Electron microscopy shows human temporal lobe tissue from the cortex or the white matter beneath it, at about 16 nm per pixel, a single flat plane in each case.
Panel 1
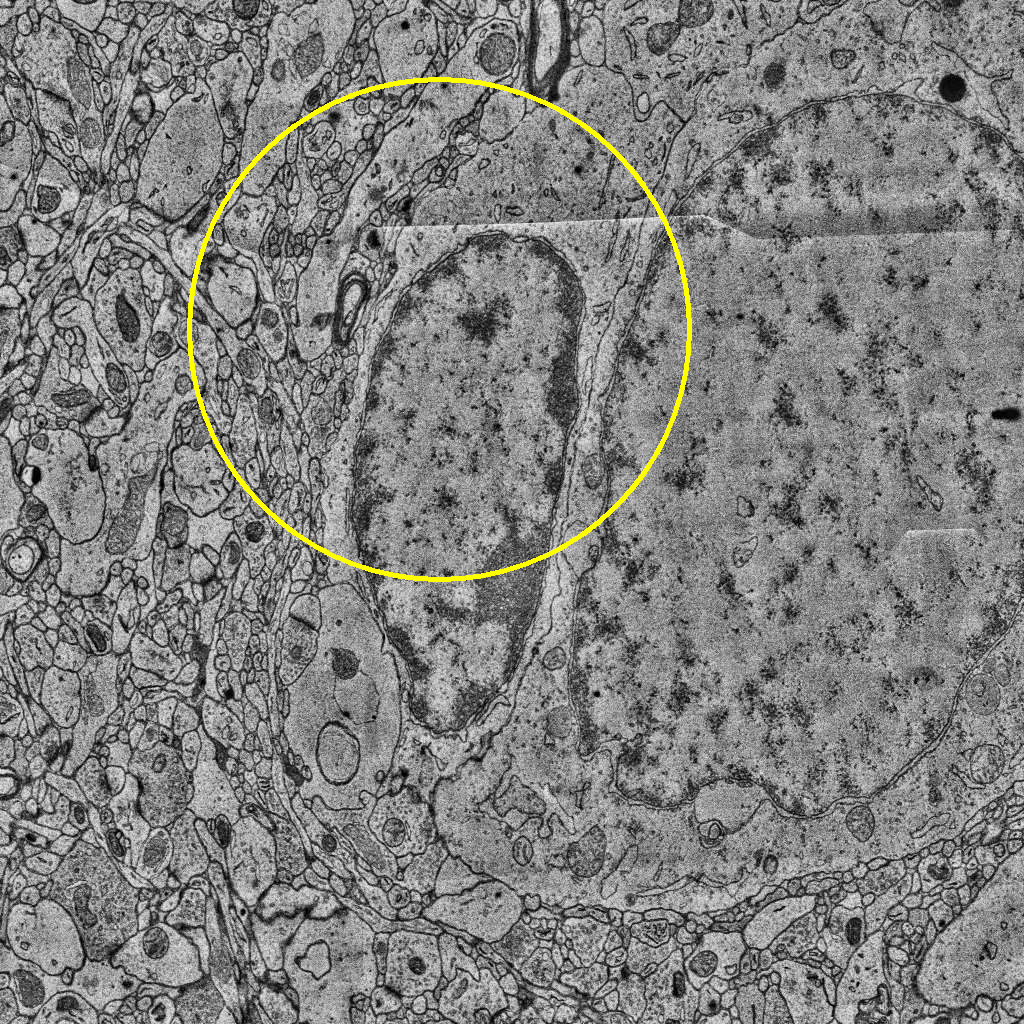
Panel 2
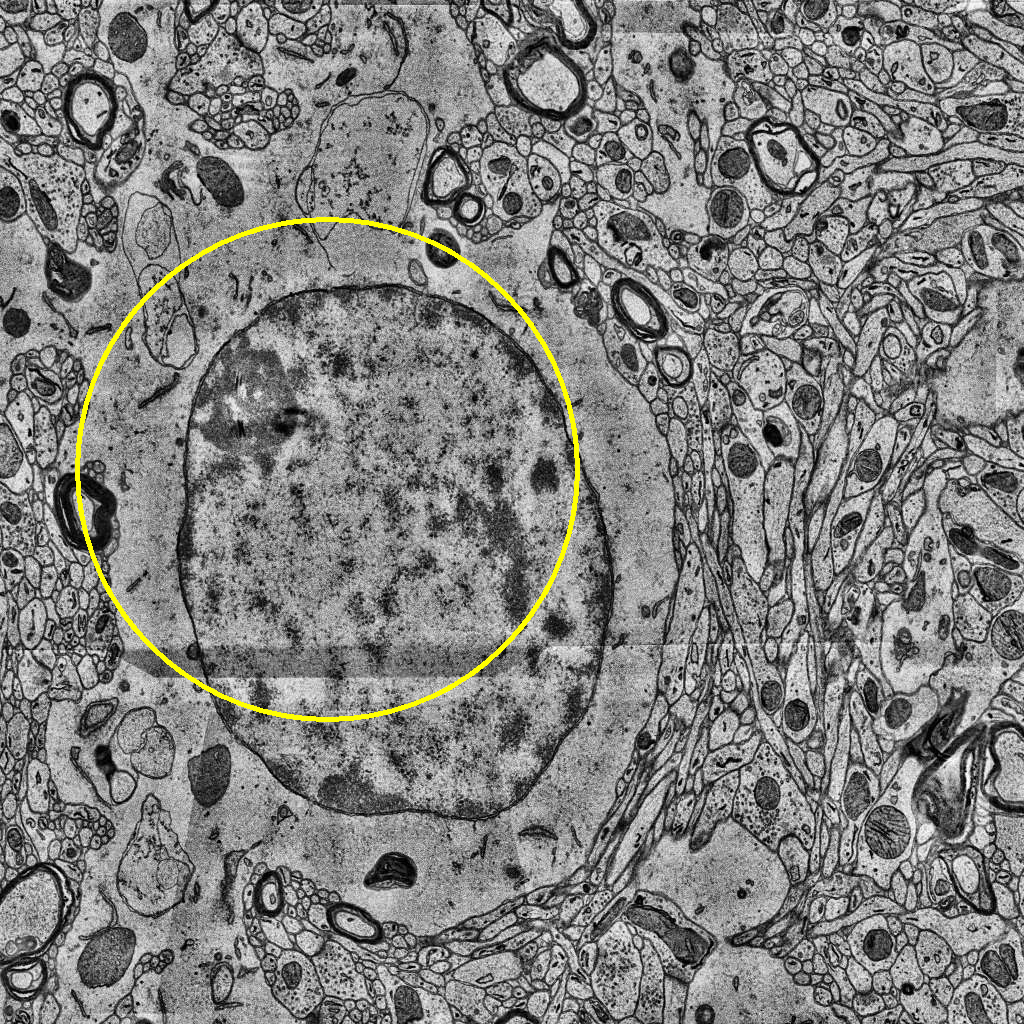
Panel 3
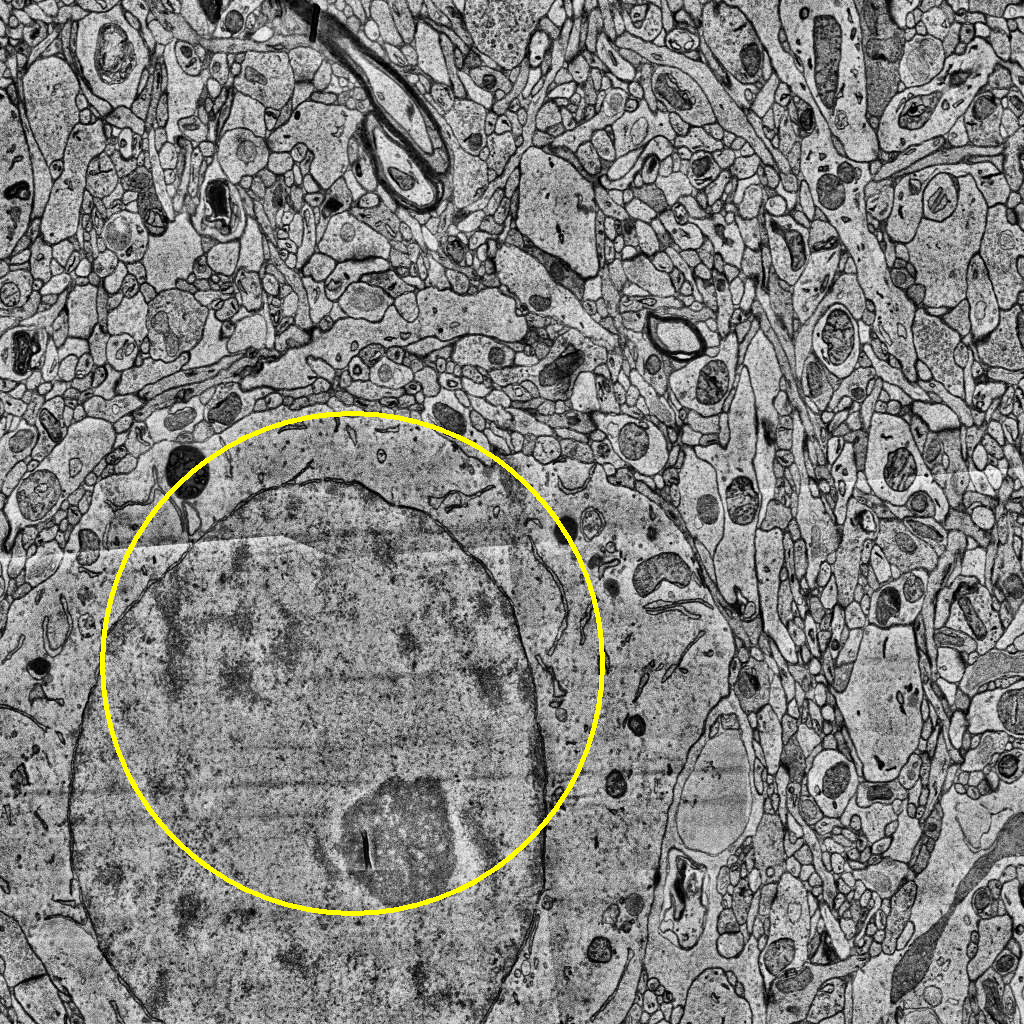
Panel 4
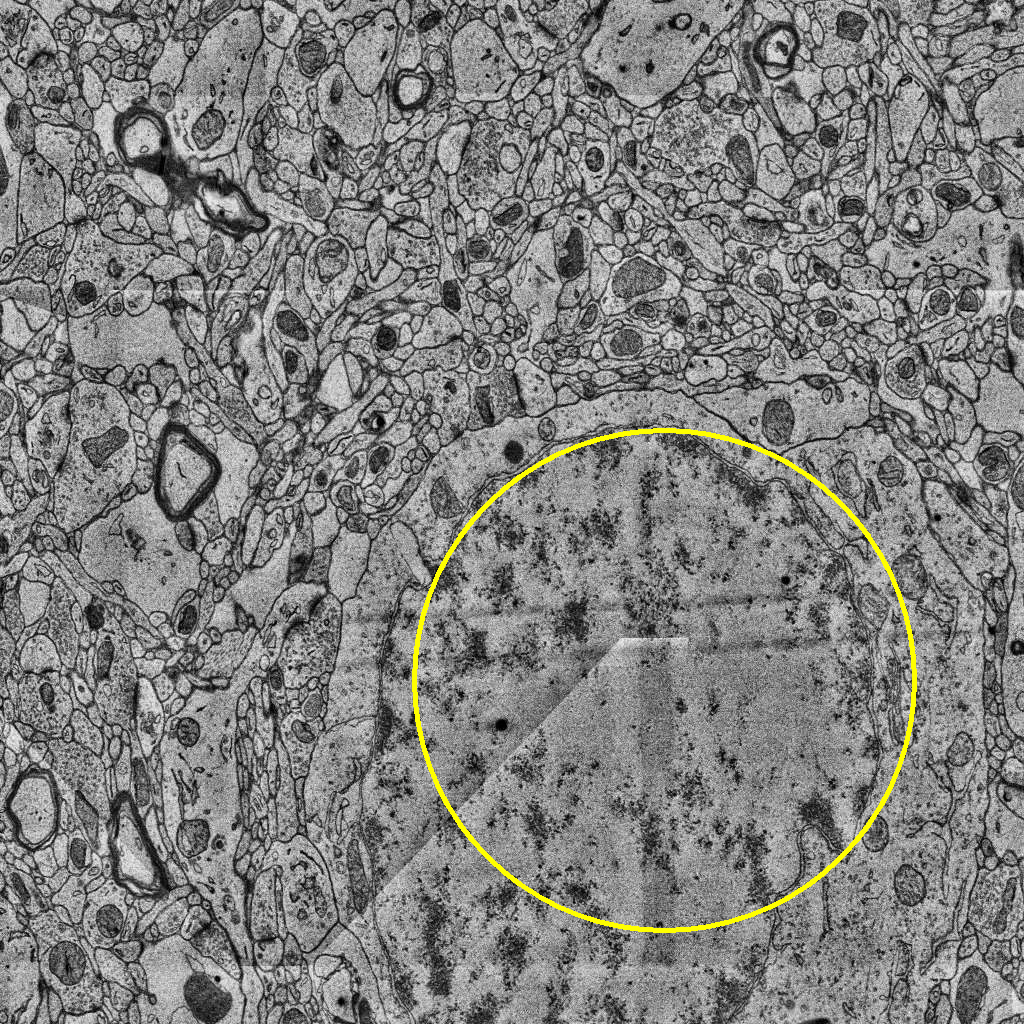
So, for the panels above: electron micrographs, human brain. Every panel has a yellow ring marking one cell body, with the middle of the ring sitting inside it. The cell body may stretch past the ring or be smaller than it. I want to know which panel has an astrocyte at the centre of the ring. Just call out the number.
2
